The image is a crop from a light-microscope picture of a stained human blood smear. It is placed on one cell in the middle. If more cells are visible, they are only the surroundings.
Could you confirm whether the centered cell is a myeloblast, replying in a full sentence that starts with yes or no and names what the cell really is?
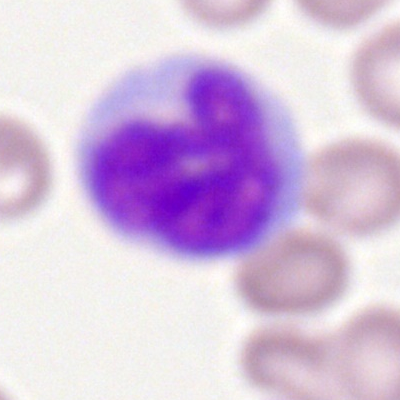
No, the cell placed at the center is a monocyte rather than a myeloblast.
